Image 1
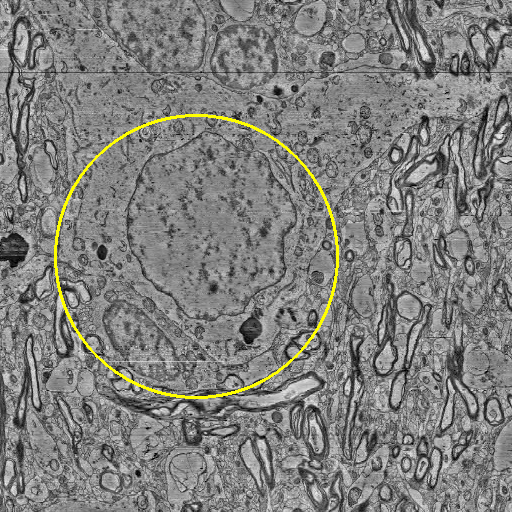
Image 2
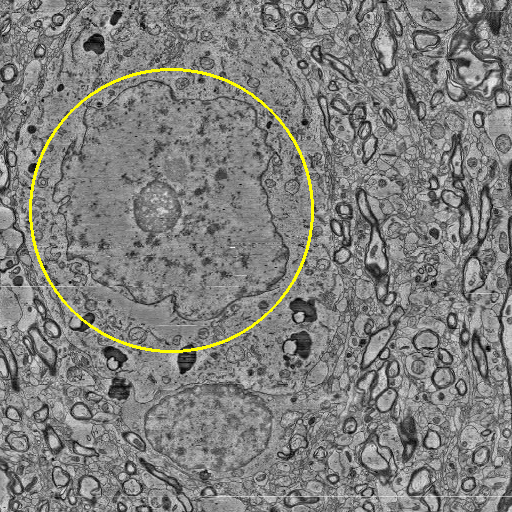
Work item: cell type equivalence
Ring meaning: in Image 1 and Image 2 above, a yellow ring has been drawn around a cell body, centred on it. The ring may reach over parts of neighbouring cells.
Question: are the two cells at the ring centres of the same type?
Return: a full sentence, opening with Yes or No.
Yes, the two centred cells are of the same type.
